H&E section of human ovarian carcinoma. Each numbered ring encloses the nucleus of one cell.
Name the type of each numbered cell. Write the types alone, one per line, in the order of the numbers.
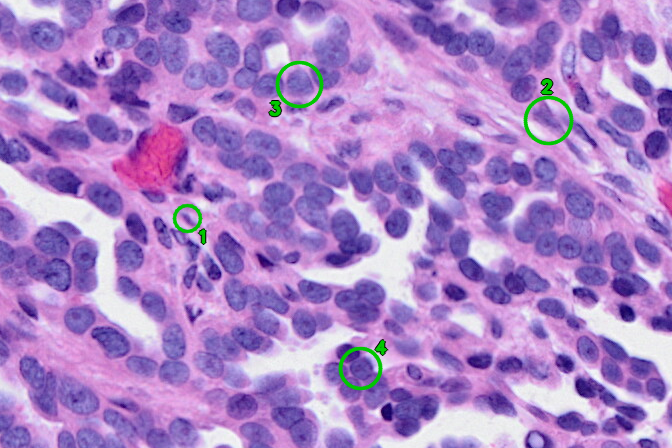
fibroblast
fibroblast
carcinoma cell
carcinoma cell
